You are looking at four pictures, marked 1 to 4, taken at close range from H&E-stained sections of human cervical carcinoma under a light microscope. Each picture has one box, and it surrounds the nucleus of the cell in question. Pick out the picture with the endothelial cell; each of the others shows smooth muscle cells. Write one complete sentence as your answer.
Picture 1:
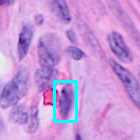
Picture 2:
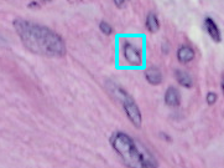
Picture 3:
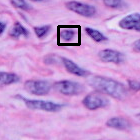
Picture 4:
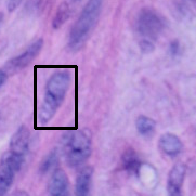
The endothelial cell is the one in picture 1.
